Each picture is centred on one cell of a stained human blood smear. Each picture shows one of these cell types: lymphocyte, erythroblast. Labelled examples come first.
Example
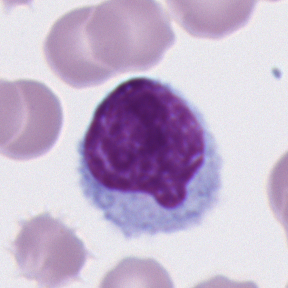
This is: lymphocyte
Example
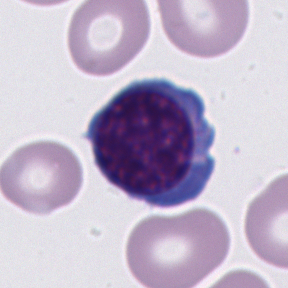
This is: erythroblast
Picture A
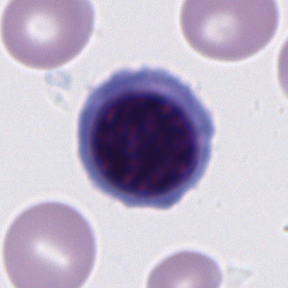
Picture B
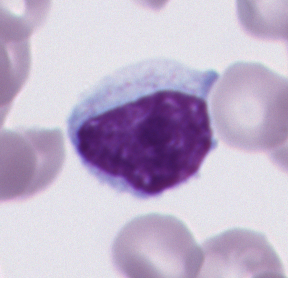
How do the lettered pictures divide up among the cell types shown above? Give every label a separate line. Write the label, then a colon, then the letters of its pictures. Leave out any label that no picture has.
lymphocyte: B
erythroblast: A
